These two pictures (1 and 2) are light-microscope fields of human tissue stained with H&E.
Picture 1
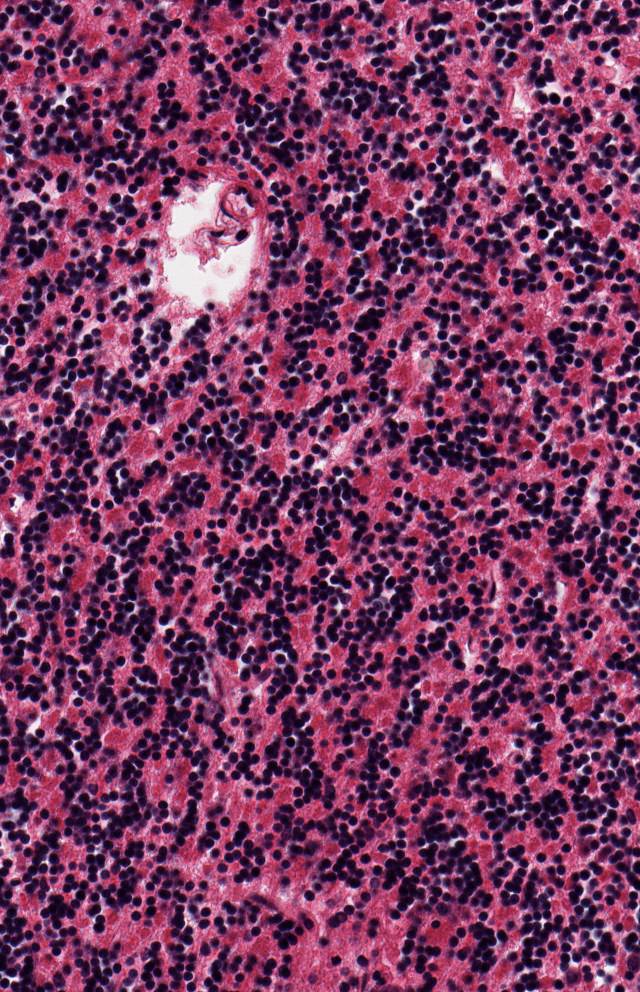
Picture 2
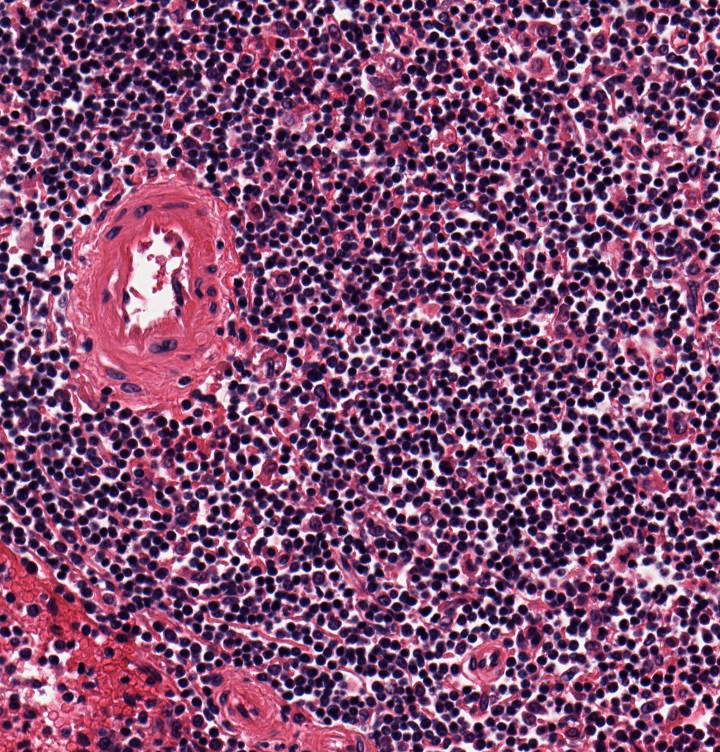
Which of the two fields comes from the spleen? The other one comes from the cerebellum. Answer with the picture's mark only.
2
